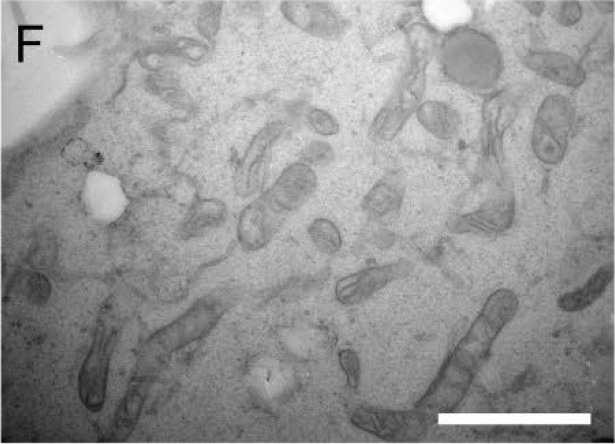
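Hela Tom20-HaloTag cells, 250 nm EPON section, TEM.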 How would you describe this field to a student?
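Cytoplasm of a cultured cell is seen at high magnification, packed with numerous oval, rod-shaped and curved organelles scattered across a fine granular background. Each organelle is bounded by a double membrane and contains inner folds running across its matrix. A few rounded vesicles and pale vacuoles lie among them, and a portion of a larger smooth rounded profile lies at the upper left edge.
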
